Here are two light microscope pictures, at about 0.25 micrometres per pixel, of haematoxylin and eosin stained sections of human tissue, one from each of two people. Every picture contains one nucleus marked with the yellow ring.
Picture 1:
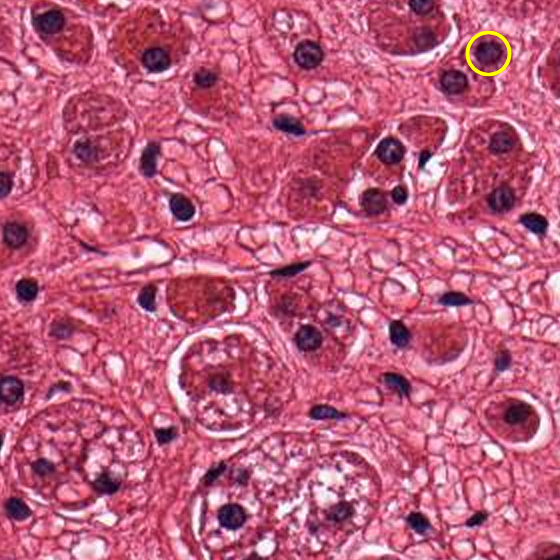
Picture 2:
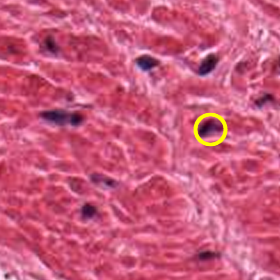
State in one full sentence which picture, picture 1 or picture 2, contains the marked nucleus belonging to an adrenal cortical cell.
The marked nucleus in picture 1 belongs to an adrenal cortical cell.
